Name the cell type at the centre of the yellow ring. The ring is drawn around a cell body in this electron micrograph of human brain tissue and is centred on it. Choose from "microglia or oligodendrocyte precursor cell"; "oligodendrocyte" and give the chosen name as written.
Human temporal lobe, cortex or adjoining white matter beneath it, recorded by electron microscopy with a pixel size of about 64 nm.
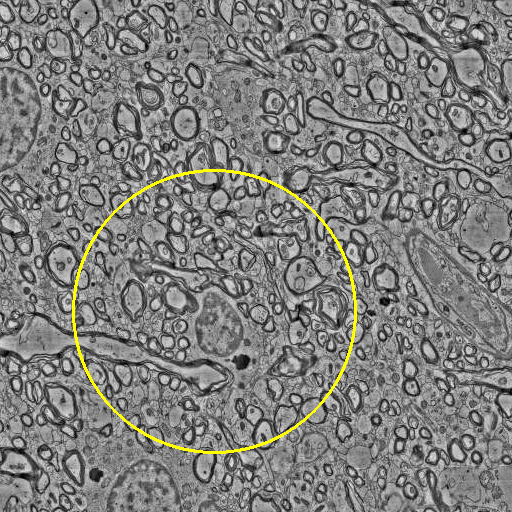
oligodendrocyte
